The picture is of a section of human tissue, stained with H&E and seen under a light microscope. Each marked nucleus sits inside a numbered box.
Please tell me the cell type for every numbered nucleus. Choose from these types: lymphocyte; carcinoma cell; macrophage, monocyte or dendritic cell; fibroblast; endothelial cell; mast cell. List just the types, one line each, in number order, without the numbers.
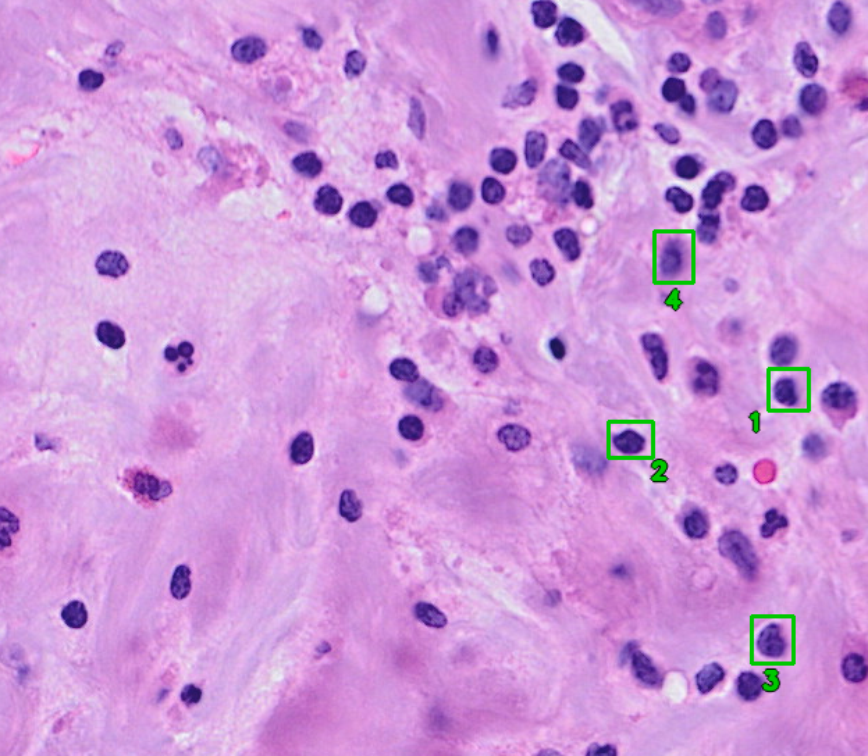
lymphocyte
lymphocyte
lymphocyte
mast cell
